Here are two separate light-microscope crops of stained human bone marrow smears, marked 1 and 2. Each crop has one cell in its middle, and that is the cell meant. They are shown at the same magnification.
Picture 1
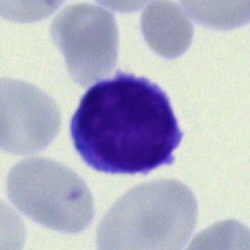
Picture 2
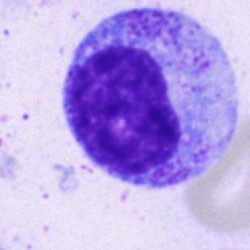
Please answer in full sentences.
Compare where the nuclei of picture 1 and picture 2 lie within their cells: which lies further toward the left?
Seen within its cell, the nucleus in picture 2 lies further toward the left.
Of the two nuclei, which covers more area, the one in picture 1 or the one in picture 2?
Picture 2 shows the larger nucleus; it covers about 1.5 times the area of the nucleus in picture 1.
